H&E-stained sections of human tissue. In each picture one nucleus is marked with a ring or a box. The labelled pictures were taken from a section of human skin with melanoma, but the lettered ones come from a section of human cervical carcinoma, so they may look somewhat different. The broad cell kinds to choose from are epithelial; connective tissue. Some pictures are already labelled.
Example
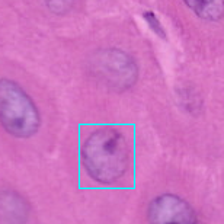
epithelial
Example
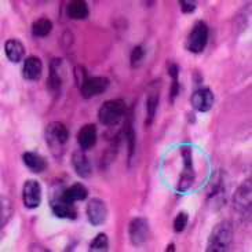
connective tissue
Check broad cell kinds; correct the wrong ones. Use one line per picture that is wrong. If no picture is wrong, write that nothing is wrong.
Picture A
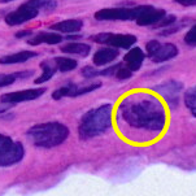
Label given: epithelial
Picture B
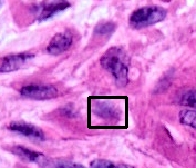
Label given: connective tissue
No label is wrong.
